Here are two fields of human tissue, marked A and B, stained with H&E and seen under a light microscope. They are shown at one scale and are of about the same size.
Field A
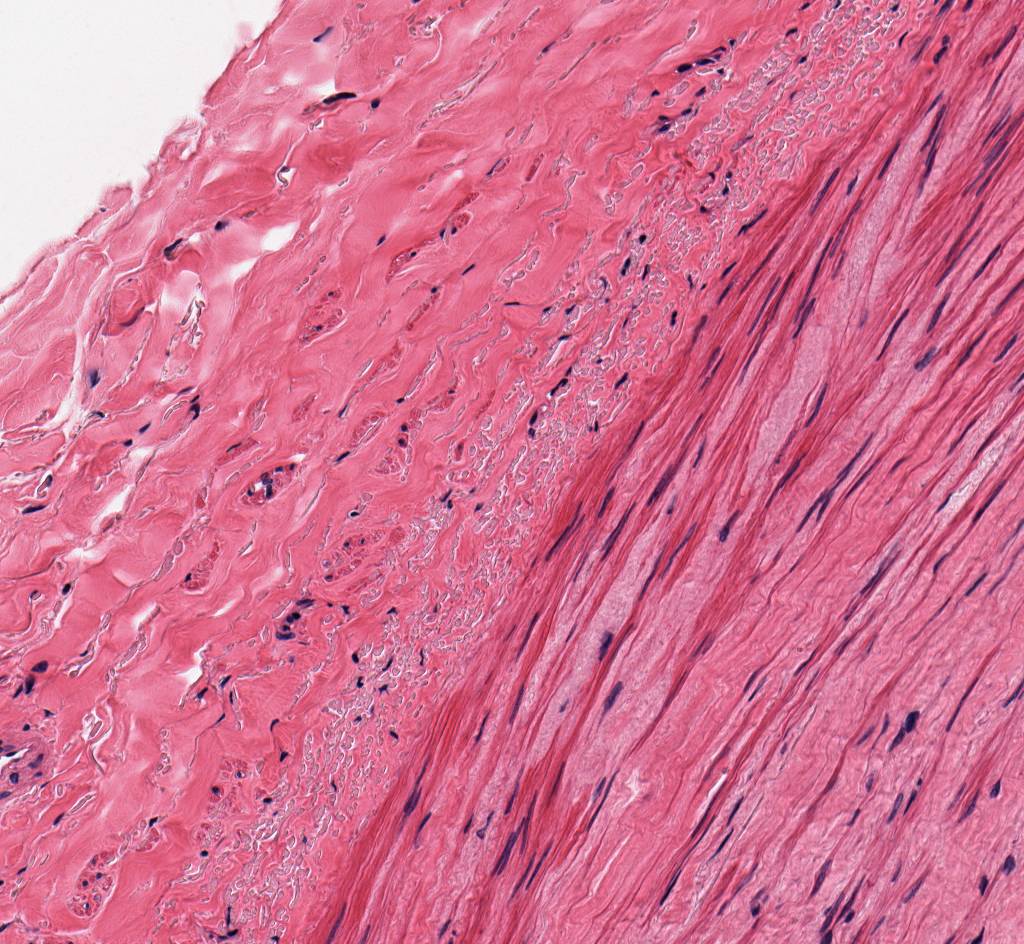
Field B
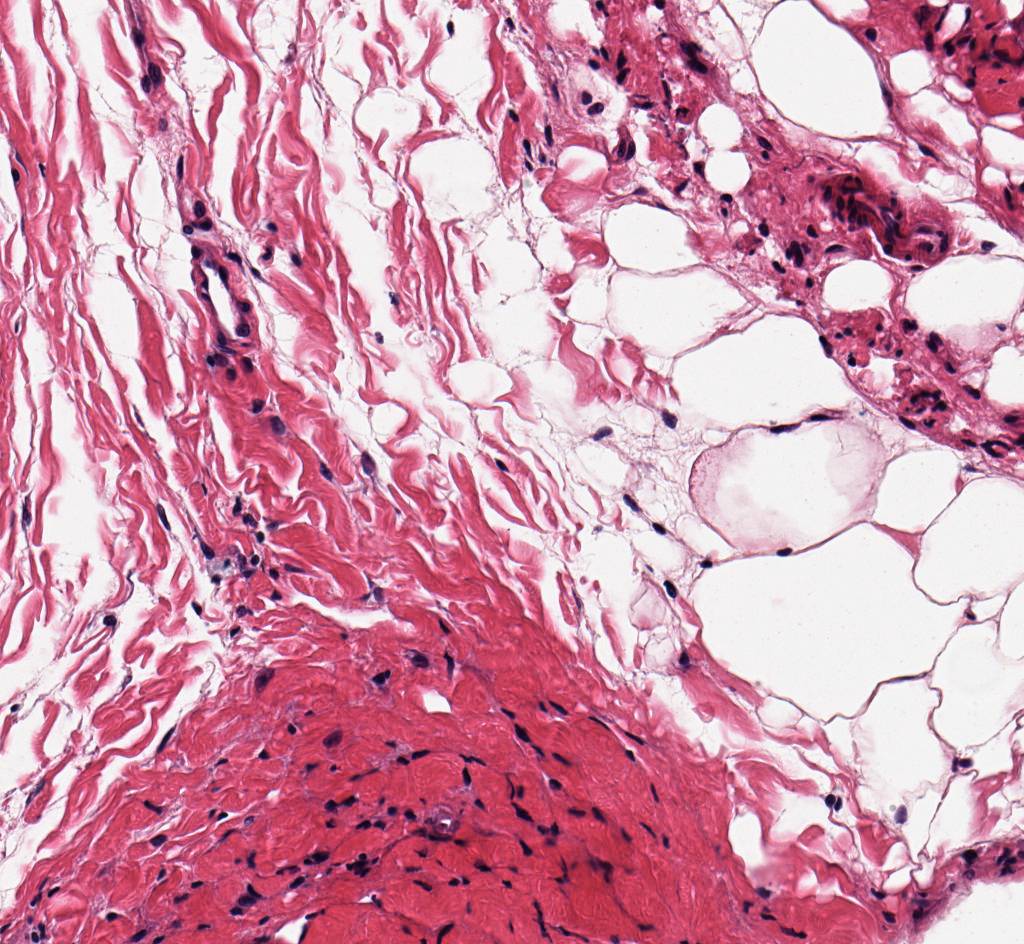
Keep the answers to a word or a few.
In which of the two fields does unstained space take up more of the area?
B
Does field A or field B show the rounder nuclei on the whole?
B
